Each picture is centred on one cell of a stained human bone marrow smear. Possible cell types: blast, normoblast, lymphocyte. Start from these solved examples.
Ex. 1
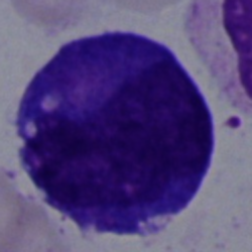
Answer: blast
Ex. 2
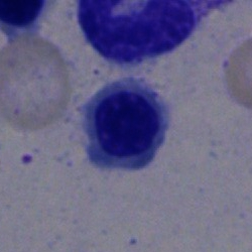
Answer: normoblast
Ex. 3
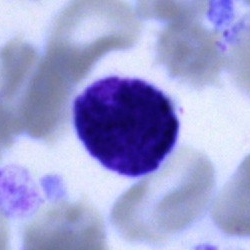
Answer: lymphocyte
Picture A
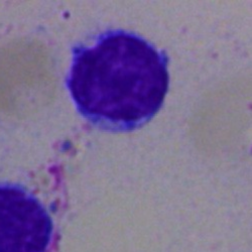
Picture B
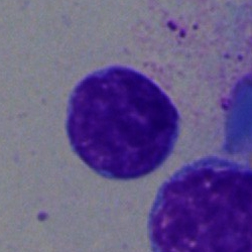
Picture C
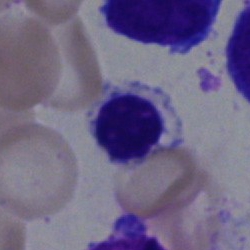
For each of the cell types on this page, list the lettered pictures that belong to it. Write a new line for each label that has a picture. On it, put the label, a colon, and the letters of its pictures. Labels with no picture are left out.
normoblast: C
lymphocyte: A, B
